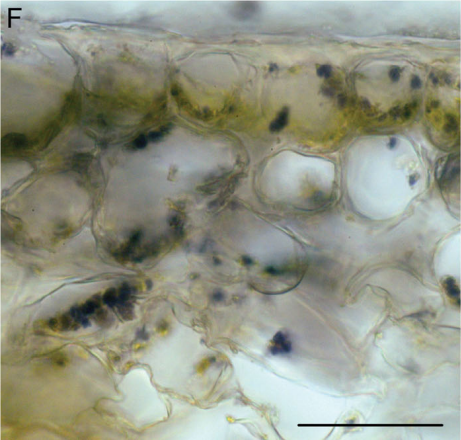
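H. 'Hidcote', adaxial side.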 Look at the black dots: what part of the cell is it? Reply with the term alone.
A: Starch granules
